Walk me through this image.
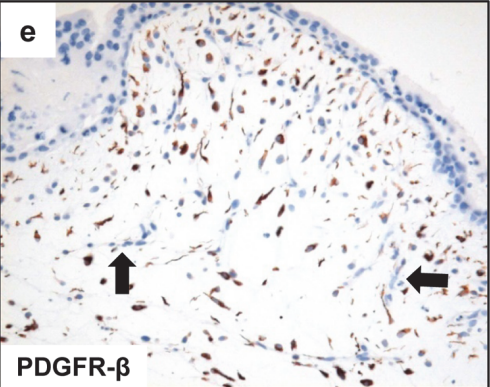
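This is loose villous stroma beneath a covering layer of epithelium that runs along the top and right side. Many spindle and stellate stromal cells throughout the stroma are stained brown, some with slender brown processes. The epithelial cells of the covering layer have blue nuclei and are not stained. A few thin cords of elongated cells within the stroma stay blue.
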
